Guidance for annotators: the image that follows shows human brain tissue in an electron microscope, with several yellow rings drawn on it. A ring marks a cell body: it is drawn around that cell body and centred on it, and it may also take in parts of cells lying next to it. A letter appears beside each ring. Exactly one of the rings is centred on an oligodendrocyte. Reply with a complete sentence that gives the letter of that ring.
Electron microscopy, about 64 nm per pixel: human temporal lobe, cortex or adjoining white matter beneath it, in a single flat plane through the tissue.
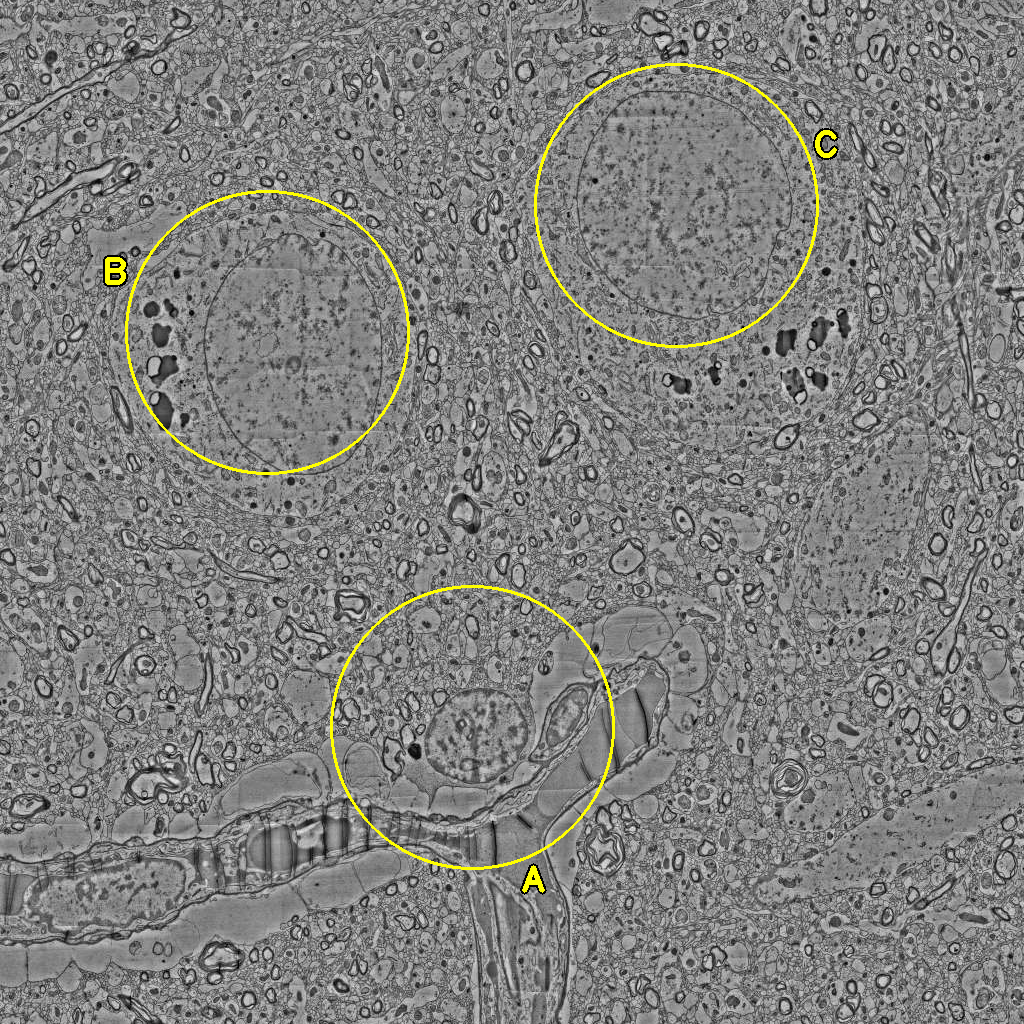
The ring lettered A is centred on that cell.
